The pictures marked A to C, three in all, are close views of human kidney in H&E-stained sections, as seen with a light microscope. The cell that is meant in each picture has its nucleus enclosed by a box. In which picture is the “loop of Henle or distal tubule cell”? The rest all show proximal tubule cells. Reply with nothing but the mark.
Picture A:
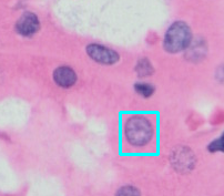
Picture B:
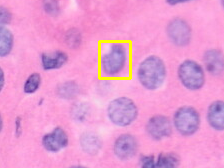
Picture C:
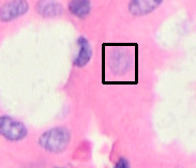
B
